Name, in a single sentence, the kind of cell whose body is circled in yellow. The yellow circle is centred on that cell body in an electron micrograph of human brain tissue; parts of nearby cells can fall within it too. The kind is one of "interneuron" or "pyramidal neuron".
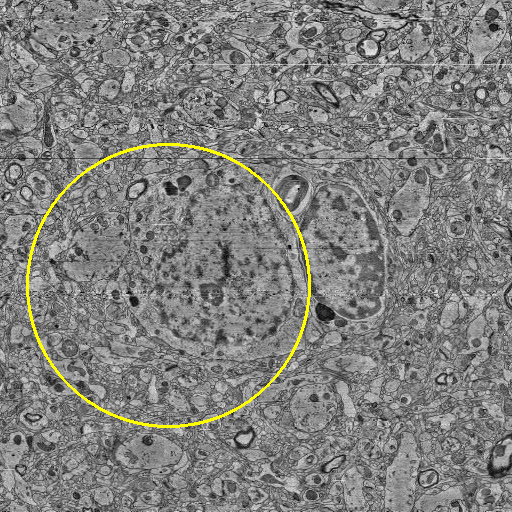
The circled cell body belongs to an interneuron.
